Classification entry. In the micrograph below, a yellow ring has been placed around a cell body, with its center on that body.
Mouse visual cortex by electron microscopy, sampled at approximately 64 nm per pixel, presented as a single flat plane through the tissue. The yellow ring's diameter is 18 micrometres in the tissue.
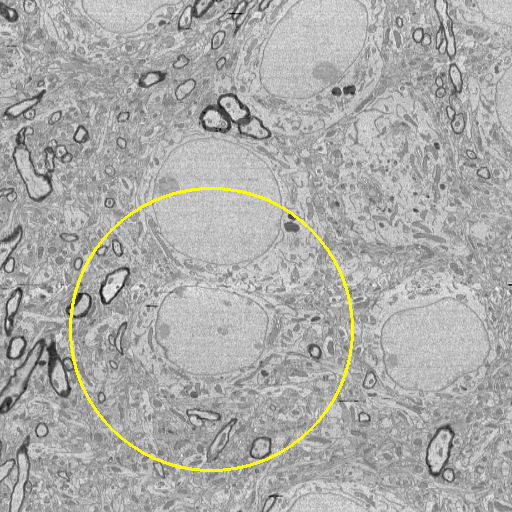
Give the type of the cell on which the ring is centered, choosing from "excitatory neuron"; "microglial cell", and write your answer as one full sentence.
The cell body at the center of the yellow ring belongs to an excitatory neuron.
